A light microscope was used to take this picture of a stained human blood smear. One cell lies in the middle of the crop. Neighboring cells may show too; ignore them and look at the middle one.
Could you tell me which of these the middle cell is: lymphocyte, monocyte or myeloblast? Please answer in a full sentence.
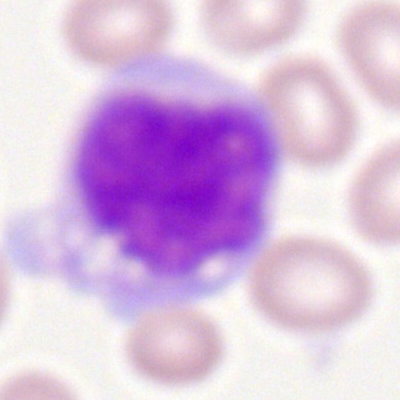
Looking at the middle of the crop, the cell there is a monocyte.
